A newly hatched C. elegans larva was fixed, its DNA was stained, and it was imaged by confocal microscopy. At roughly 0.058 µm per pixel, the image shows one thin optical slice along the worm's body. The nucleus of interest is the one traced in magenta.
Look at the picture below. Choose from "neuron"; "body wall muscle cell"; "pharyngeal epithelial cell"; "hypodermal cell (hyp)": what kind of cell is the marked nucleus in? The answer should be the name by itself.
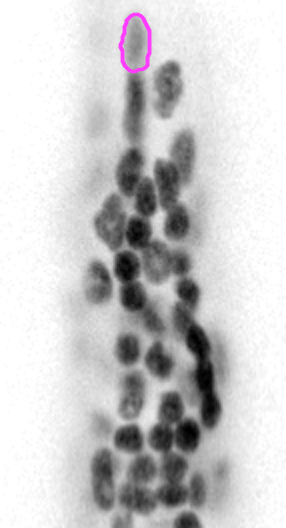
pharyngeal epithelial cell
